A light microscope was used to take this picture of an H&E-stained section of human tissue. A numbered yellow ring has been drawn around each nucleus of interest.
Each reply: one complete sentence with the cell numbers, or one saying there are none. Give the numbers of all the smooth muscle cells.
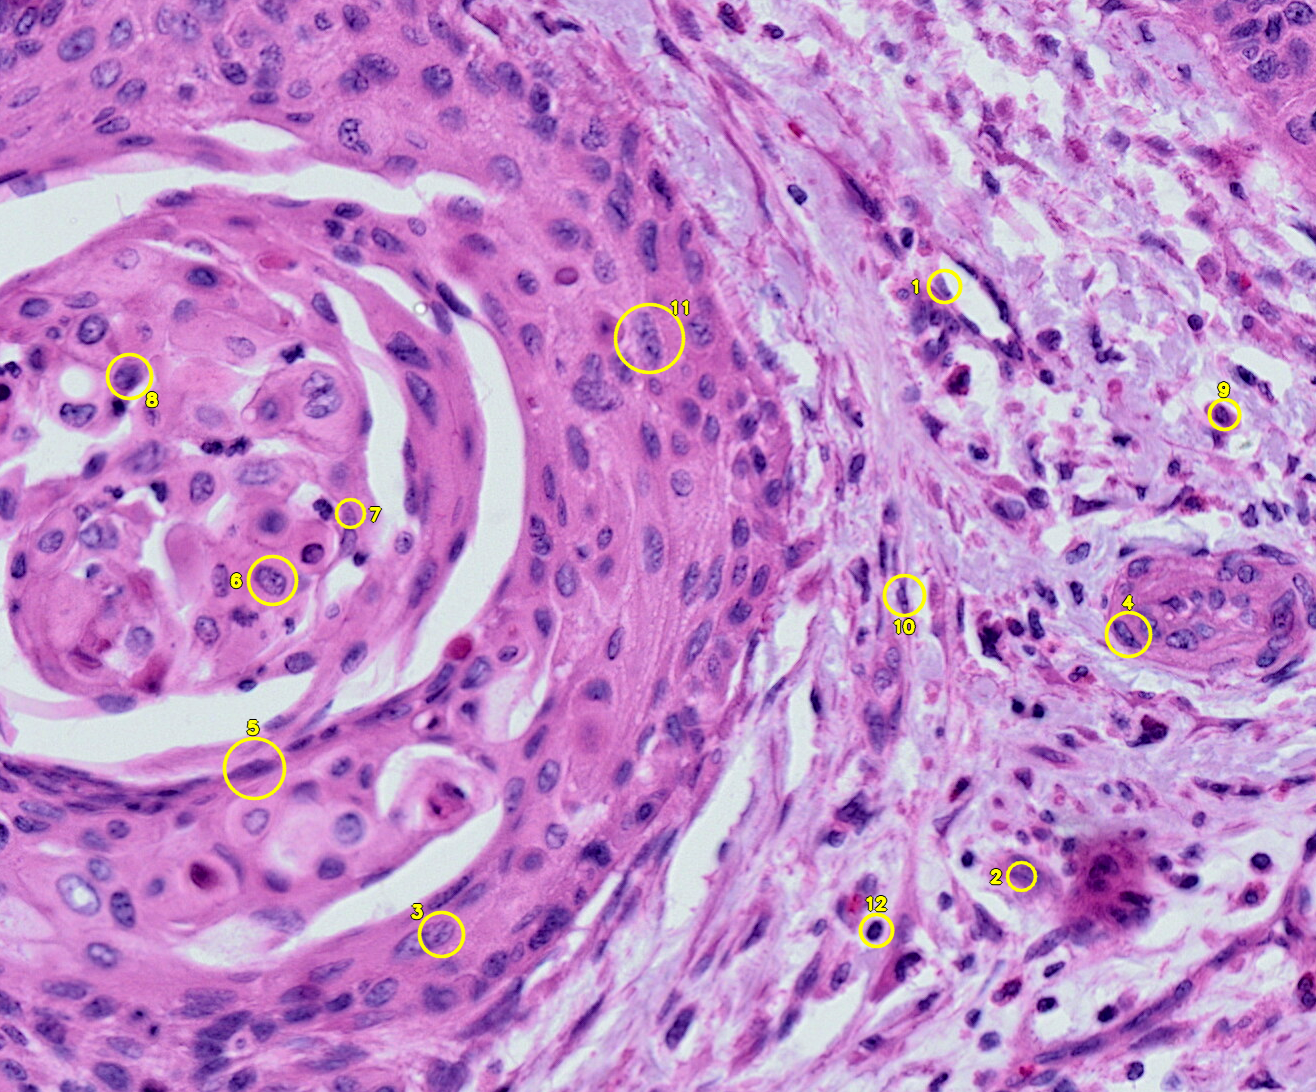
A single numbered cell, cell 4, is a smooth muscle cell.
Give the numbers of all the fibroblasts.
The numbered cells include exactly one that is a fibroblast, which is cell 10.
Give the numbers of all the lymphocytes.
Cell number 12 alone is a lymphocyte; the rest are not.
